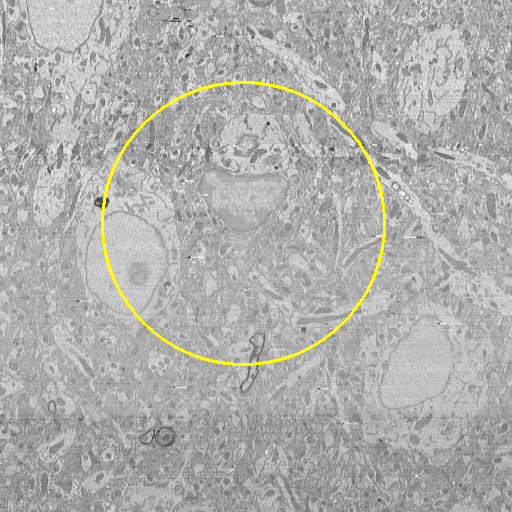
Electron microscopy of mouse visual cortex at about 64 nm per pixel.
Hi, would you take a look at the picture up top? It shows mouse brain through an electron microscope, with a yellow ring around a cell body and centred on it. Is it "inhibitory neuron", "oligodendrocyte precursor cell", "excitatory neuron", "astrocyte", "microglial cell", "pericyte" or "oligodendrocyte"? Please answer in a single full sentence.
The best fit for the cell in the middle of the ring is a microglial cell, I reckon.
